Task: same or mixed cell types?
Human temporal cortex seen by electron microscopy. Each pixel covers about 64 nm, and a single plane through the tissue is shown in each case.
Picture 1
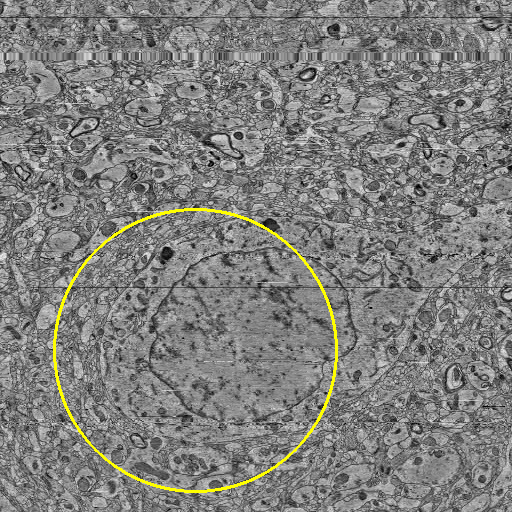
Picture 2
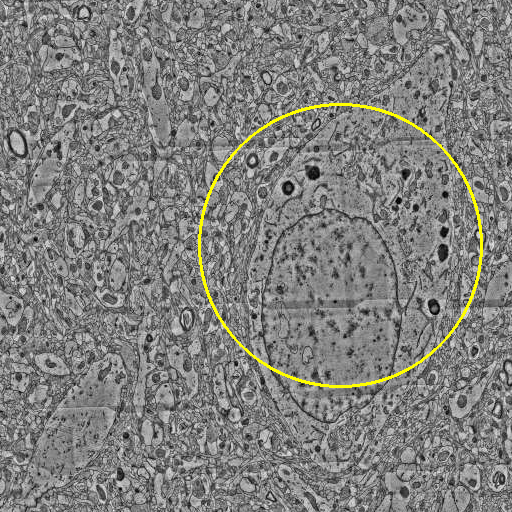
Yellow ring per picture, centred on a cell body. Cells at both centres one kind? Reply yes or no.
yes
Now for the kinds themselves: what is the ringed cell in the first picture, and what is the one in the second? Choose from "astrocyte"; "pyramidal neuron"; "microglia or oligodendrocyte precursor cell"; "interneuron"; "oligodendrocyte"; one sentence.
In each of the two pictures, the ringed cell is a pyramidal neuron.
